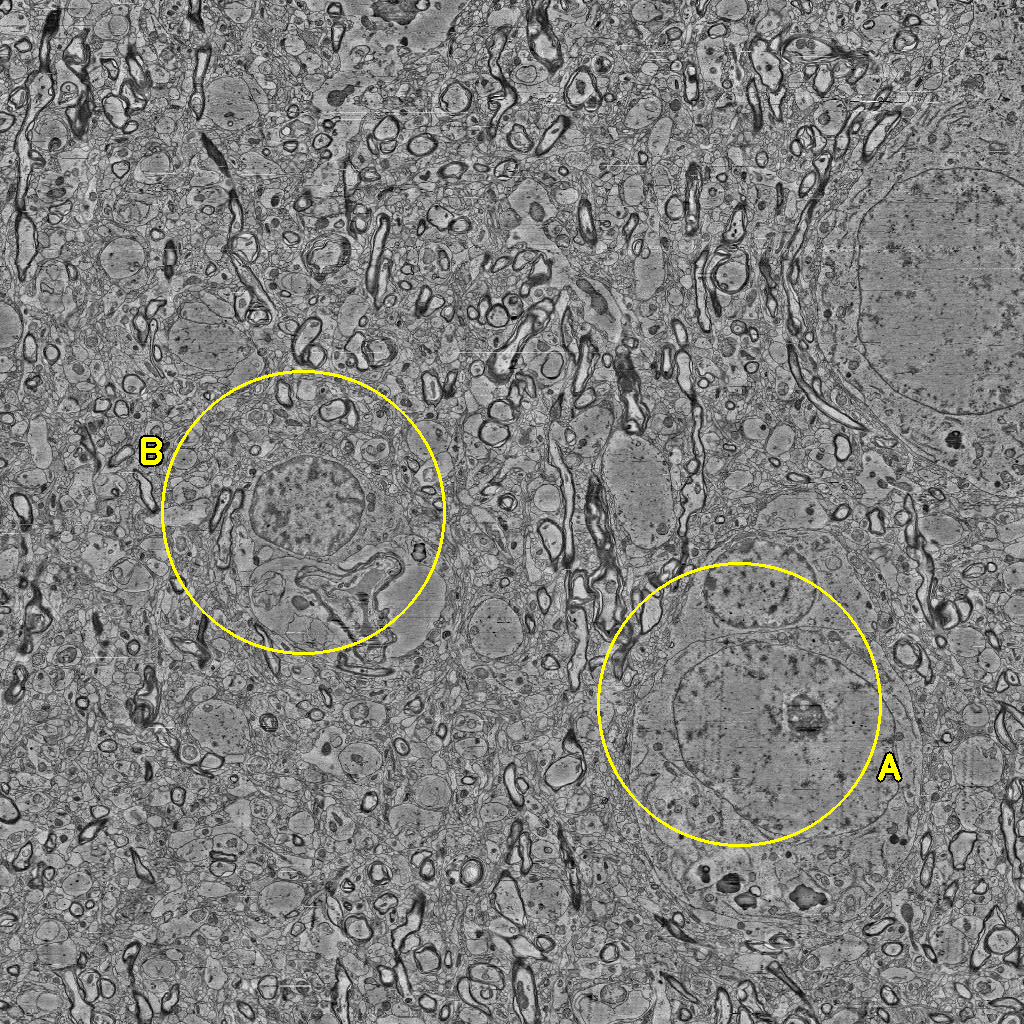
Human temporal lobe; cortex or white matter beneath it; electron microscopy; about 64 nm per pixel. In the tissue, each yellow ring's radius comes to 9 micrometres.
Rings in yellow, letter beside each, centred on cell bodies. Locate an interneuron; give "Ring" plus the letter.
Ring A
